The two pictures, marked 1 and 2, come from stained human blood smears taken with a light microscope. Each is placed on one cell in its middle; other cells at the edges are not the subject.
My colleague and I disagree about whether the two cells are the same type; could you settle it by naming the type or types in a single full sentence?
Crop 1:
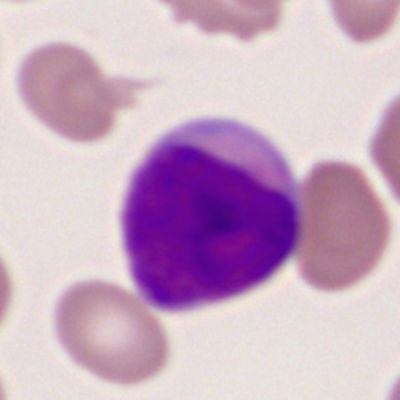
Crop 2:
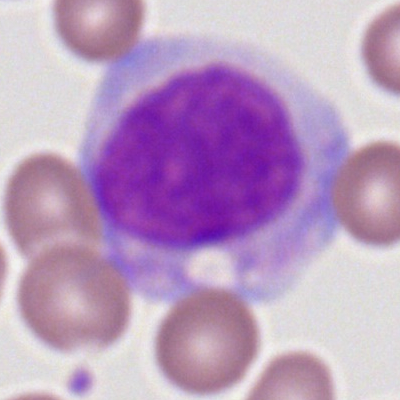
No, crop 1 contains a blast, and crop 2 contains a monocyte.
